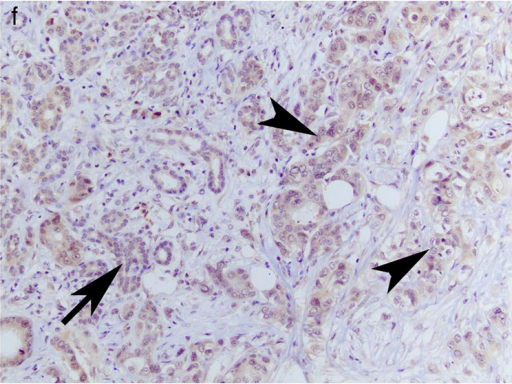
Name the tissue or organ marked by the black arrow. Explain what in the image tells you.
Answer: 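The arrow points to small round clusters of cells around tiny lumina.
Conclusion: normal acini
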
